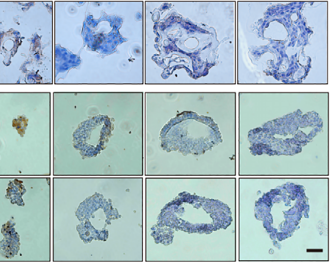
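In some clusters, mostly in the left-hand column, there is a brown deposit over the cells. In the other clusters the cells stay mostly blue with little or no brown.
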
